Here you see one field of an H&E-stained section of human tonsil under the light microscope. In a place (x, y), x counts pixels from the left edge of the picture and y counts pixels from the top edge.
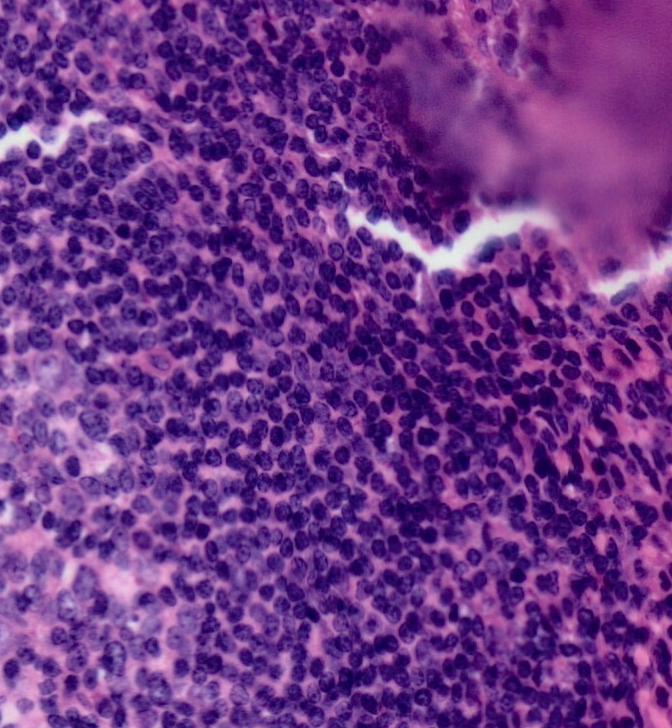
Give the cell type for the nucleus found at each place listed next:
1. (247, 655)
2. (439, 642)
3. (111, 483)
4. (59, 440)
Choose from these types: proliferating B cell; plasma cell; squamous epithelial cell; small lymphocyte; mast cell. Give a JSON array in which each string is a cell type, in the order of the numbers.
["small lymphocyte", "small lymphocyte", "proliferating B cell", "proliferating B cell"]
